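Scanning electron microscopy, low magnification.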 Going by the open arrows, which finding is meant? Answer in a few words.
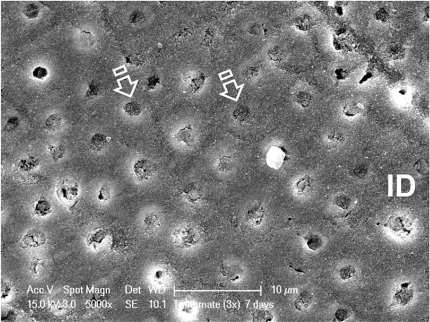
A: Completely occluded tubules.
